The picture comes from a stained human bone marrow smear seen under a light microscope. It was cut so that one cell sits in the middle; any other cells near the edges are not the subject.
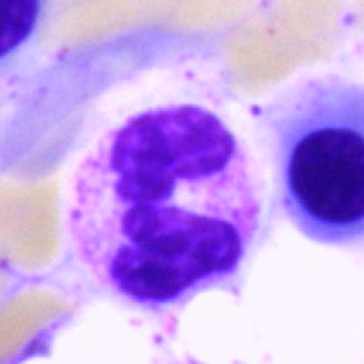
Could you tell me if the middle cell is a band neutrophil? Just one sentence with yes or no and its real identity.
No, it is a segmented neutrophil that sits in the middle, not a band neutrophil.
